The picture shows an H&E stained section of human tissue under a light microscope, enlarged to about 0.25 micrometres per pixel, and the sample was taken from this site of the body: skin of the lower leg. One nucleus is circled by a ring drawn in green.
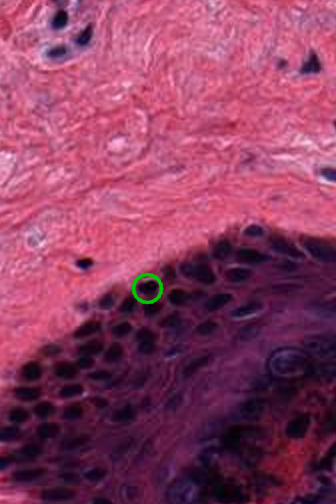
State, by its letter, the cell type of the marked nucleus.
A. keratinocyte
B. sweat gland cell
A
